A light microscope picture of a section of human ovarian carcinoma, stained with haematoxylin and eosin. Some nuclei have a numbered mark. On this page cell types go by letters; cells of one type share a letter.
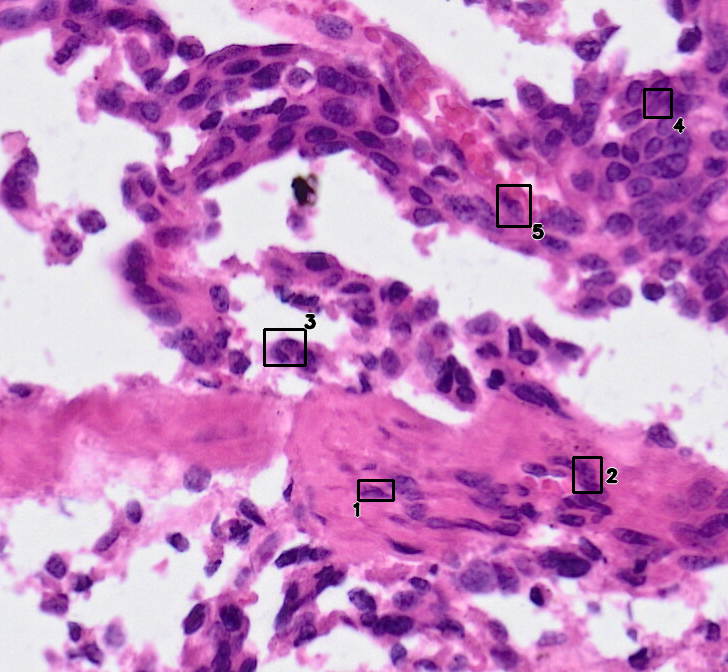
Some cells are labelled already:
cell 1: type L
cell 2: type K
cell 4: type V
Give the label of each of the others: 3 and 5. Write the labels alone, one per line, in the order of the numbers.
type V
type K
